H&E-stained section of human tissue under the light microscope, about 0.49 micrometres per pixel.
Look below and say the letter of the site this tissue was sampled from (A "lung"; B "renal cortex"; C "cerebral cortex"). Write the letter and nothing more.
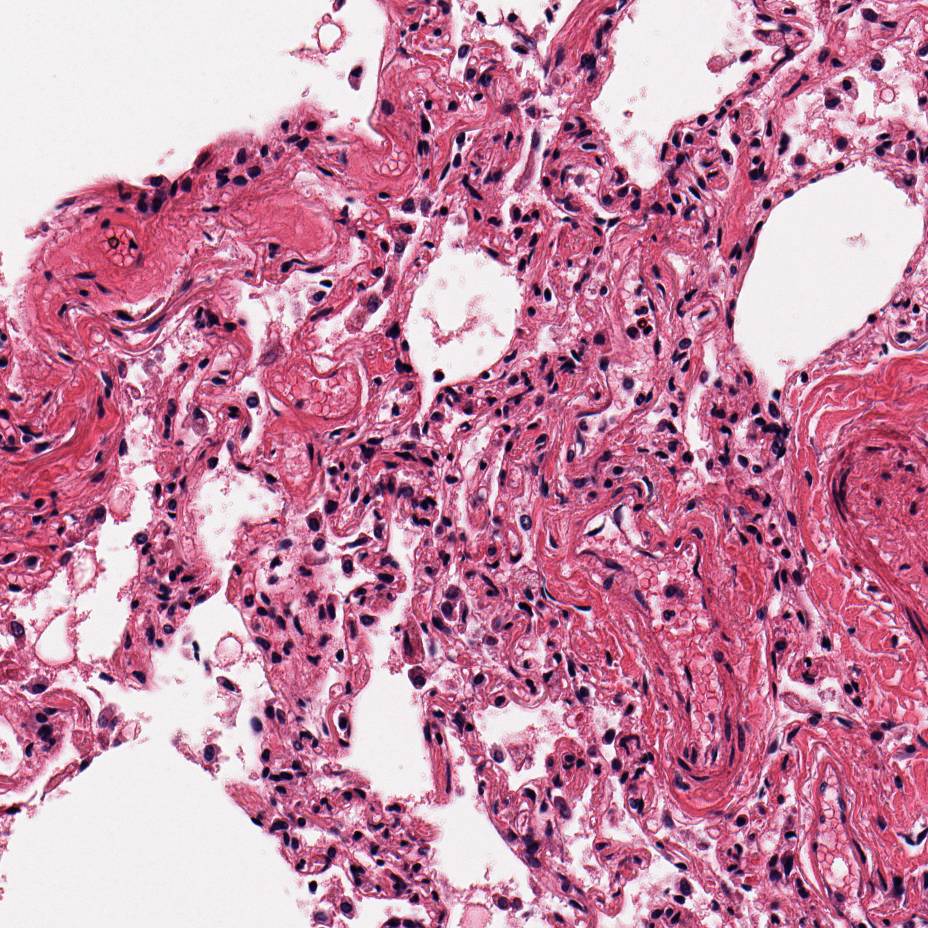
A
